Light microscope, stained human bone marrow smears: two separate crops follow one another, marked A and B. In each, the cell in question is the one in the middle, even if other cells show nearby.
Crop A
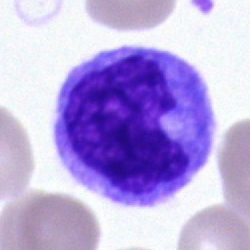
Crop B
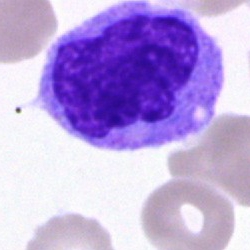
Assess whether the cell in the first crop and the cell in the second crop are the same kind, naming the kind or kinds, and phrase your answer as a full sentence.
Yes, monocytes are depicted in both crops.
